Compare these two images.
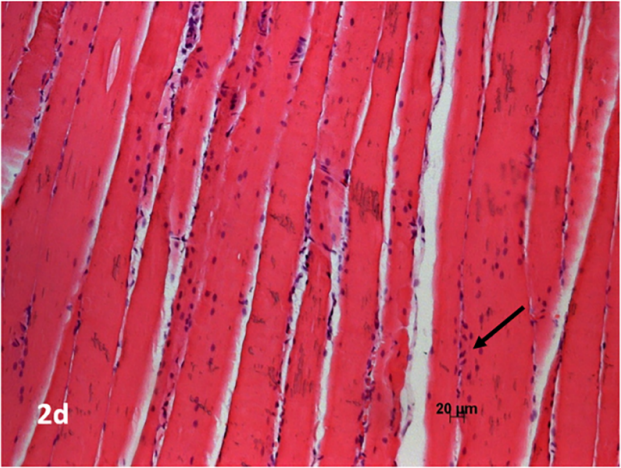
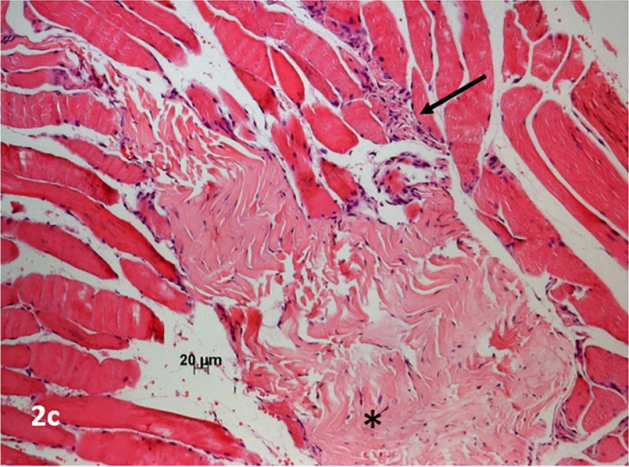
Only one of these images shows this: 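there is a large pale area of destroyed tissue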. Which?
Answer: the second image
